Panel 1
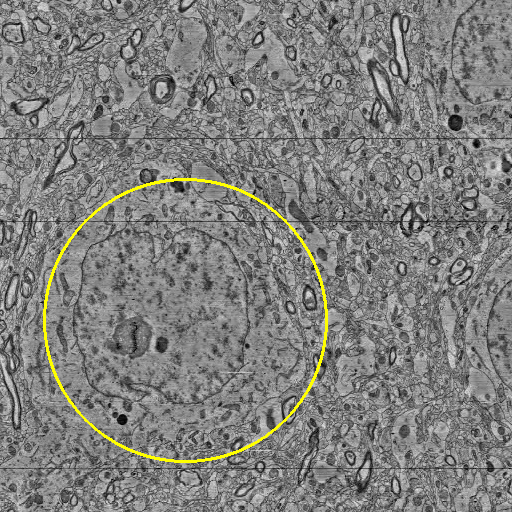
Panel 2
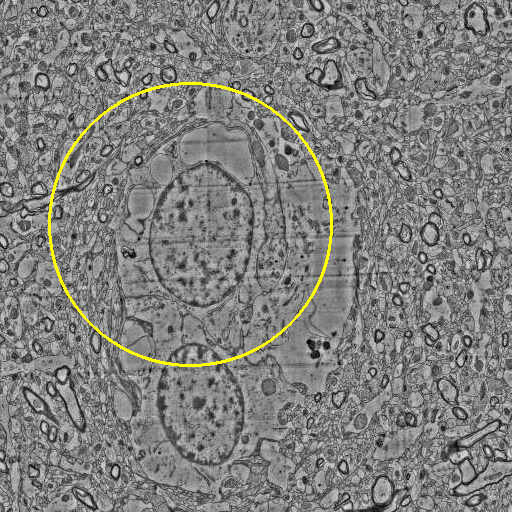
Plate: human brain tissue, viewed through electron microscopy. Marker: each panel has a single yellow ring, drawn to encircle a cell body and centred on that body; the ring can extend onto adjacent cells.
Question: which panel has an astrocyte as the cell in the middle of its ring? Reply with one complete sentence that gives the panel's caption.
Panel 2 is where the requested cell sits at the centre of the ring.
